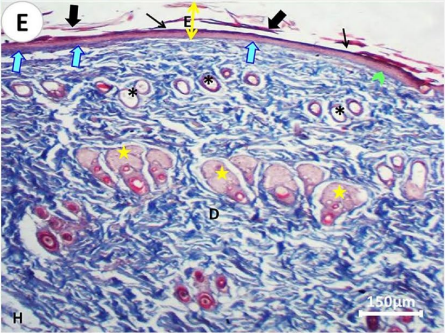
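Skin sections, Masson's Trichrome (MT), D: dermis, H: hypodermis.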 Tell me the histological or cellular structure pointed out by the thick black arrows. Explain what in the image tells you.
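Arrows point at the outermost thin red lamellar layer of the epidermis.
Hence: stratum corneum layer.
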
